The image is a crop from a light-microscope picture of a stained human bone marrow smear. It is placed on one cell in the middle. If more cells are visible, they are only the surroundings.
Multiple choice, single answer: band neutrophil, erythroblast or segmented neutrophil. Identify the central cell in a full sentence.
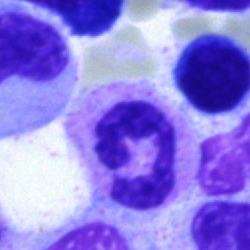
The cell featured at the centre of this crop is a segmented neutrophil.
